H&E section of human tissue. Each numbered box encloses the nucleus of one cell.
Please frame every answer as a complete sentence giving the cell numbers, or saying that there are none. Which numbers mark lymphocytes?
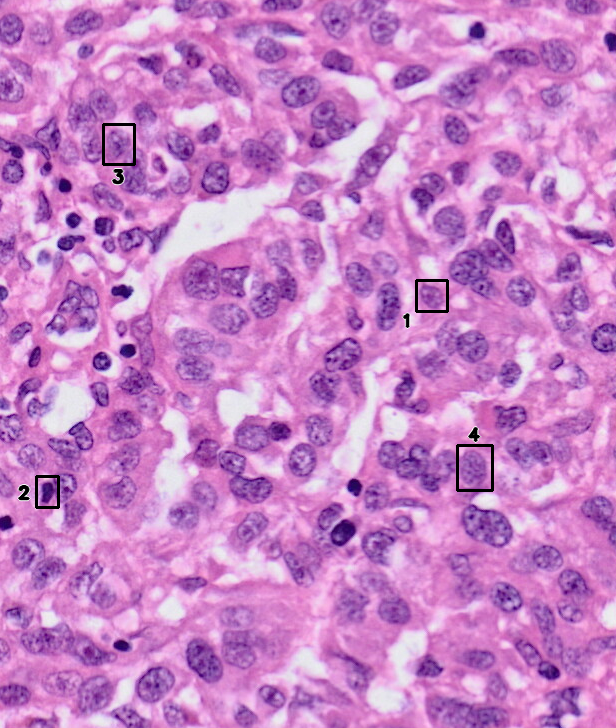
The nucleus labelled 2 alone belongs to a lymphocyte; the other marked nuclei do not.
